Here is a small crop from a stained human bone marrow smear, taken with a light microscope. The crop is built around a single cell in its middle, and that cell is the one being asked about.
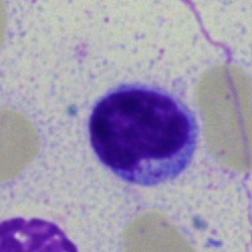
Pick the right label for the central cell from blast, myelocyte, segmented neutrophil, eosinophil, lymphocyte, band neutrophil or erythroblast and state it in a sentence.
By classification, the middle cell of this crop is a lymphocyte.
